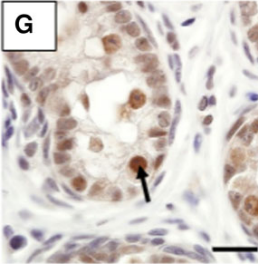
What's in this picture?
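This is a section of testis with seminiferous tubules cut across, separated by interstitial tissue with elongated blue-stained nuclei. Inside the tubules many round cells have brown nuclei, and some nuclei are stained much darker brown than others. The marked germ cell has a round, intensely brown nucleus and lies within the cell layers facing the lumen. The centre of one tubule is open as an irregular pale lumen.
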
